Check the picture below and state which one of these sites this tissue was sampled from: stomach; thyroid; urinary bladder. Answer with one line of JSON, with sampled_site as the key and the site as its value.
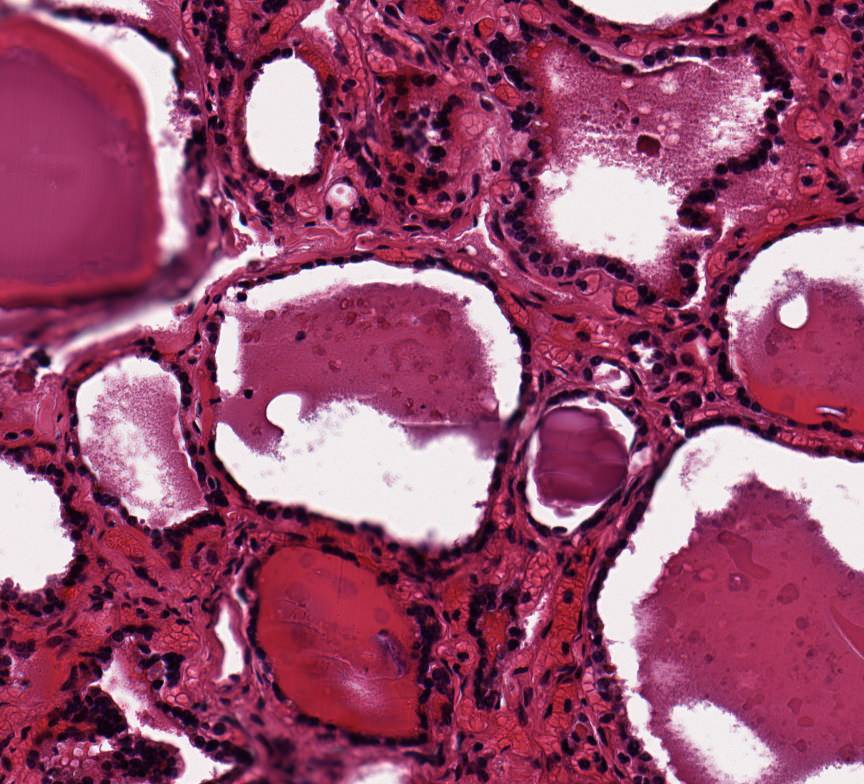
{"sampled_site": "thyroid"}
